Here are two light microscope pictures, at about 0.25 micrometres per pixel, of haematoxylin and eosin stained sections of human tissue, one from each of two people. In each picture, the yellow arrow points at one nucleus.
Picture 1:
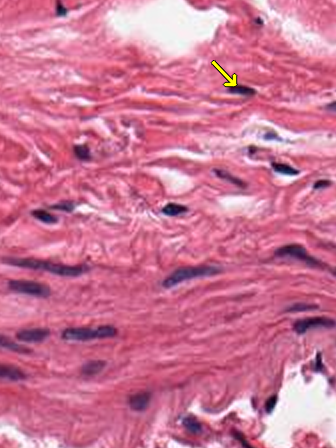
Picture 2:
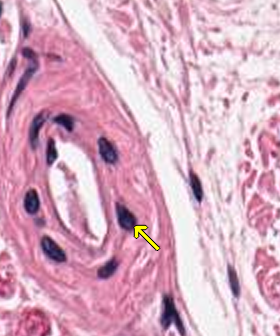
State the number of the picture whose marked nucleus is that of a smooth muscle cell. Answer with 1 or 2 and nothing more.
2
